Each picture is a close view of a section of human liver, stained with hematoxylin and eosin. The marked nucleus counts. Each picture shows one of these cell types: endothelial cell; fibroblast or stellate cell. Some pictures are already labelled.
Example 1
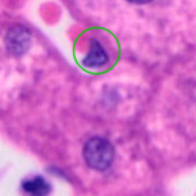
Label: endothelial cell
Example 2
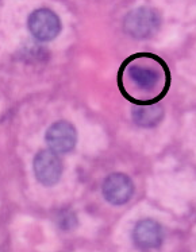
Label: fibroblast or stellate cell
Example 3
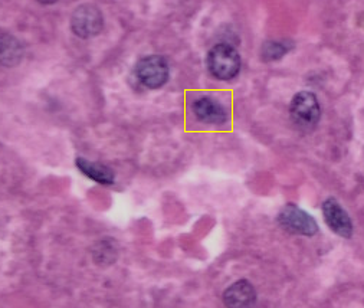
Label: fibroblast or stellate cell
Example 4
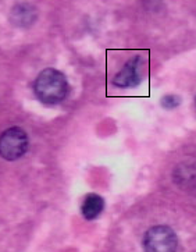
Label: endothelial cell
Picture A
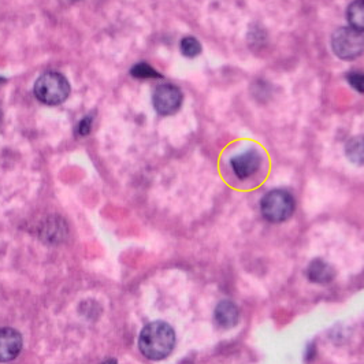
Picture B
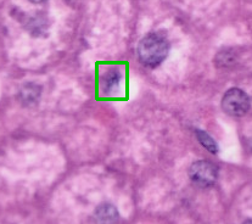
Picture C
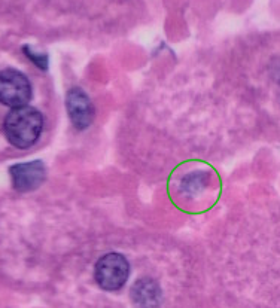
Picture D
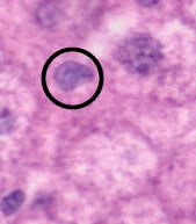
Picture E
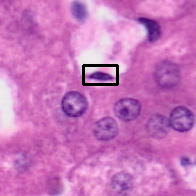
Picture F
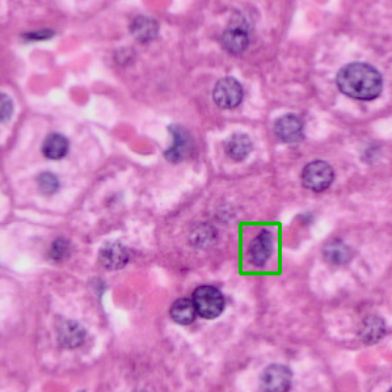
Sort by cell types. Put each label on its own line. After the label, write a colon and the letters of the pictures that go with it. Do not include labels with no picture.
endothelial cell: A, B, C, D, E
fibroblast or stellate cell: F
